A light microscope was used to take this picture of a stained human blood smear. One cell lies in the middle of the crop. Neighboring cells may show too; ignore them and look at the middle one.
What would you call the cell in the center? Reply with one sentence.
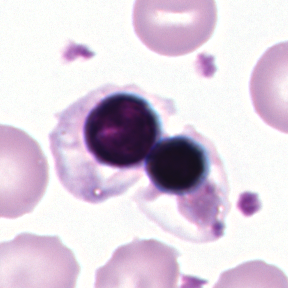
The identification for the central cell is a normoblast.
